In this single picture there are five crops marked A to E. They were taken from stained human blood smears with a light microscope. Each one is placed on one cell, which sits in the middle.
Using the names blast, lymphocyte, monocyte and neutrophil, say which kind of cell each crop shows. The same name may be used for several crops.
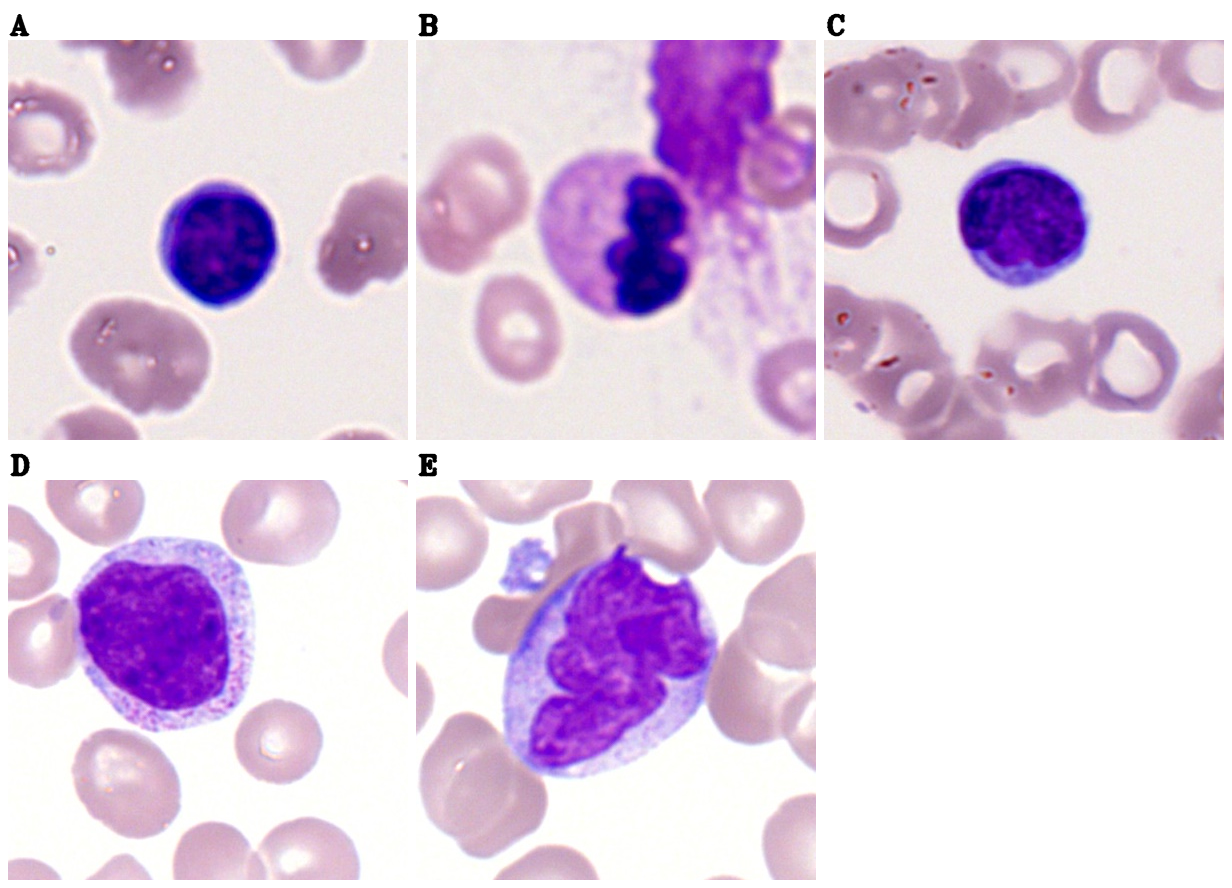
A: lymphocyte
B: neutrophil
C: lymphocyte
D: lymphocyte
E: monocyte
